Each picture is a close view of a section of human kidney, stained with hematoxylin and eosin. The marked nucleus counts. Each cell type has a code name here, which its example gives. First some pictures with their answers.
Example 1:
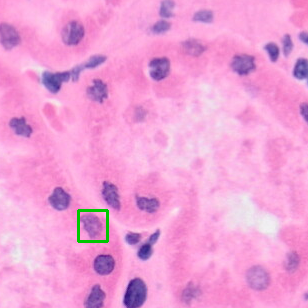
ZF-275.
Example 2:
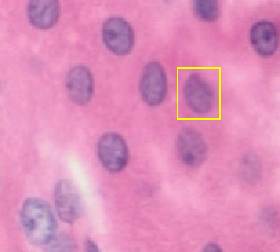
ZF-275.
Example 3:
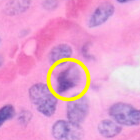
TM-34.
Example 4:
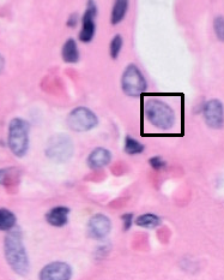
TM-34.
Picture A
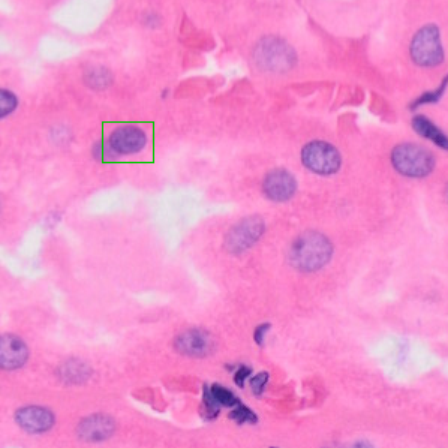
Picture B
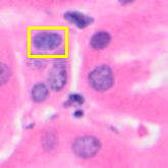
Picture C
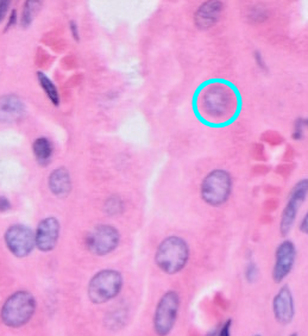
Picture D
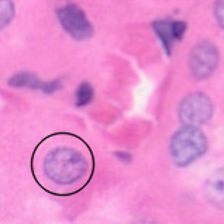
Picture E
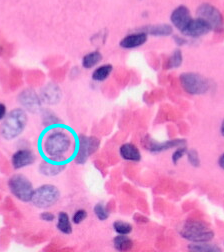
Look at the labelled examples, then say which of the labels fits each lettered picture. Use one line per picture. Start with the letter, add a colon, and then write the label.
A: ZF-275.
B: TM-34.
C: ZF-275.
D: ZF-275.
E: TM-34.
